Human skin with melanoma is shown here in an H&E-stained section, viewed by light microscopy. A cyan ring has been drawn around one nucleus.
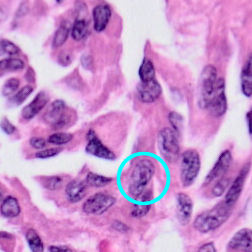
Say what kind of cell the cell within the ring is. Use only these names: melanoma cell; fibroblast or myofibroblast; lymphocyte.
melanoma cell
